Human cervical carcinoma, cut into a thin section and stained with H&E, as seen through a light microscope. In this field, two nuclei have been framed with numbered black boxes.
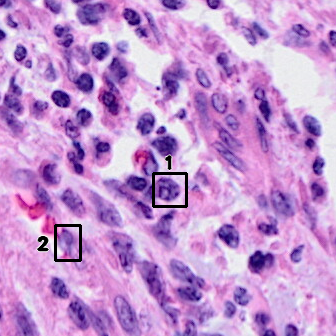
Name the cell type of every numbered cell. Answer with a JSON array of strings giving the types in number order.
["lymphocyte", "endothelial cell"]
